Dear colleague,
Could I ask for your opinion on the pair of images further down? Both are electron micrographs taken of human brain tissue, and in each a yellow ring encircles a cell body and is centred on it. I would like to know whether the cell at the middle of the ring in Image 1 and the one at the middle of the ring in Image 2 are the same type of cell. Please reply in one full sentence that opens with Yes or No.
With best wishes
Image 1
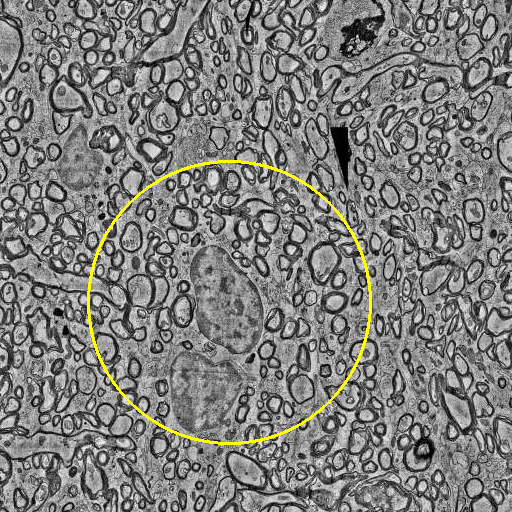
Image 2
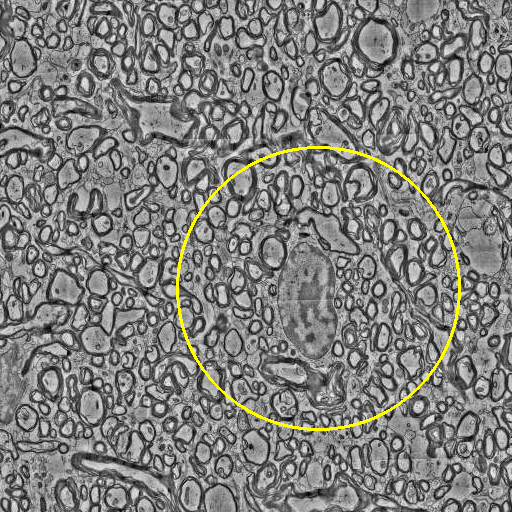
Yes, the cells at the ring centres in Image 1 and Image 2 are of one type.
